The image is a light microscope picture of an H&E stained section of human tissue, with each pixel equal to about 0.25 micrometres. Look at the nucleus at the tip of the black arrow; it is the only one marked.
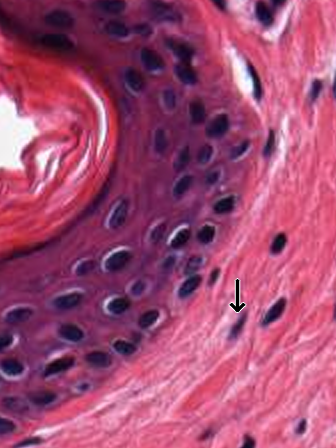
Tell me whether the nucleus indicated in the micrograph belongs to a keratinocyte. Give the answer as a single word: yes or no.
no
